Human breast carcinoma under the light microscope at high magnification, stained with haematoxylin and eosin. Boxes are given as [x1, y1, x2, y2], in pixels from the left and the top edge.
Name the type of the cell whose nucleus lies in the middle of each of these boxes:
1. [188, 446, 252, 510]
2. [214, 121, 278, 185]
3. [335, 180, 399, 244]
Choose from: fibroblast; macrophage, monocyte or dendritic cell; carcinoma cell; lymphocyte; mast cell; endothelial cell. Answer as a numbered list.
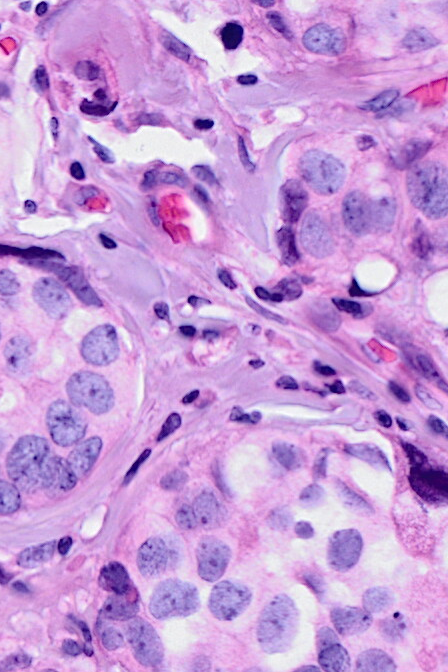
1. carcinoma cell
2. fibroblast
3. carcinoma cell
